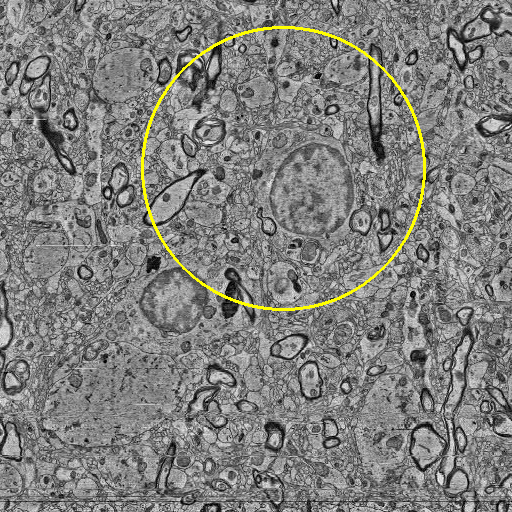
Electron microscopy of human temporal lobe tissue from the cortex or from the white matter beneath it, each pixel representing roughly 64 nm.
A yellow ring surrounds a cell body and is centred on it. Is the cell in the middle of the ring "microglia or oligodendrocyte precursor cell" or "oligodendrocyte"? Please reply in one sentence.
The ring is centred on an oligodendrocyte.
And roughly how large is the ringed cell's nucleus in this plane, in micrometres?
In this plane the nucleus measures roughly 6 by 5 micrometres.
